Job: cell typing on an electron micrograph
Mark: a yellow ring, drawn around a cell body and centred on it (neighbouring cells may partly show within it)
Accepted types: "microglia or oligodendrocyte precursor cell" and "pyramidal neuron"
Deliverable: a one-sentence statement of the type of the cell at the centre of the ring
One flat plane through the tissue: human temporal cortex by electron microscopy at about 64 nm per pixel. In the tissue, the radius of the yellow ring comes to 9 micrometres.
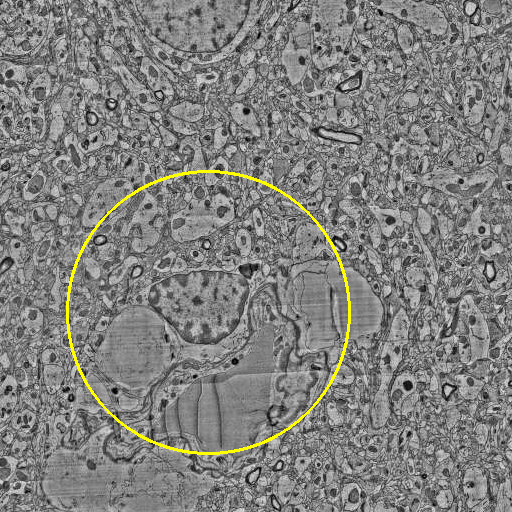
The centred cell body is that of a microglial cell or oligodendrocyte precursor cell.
